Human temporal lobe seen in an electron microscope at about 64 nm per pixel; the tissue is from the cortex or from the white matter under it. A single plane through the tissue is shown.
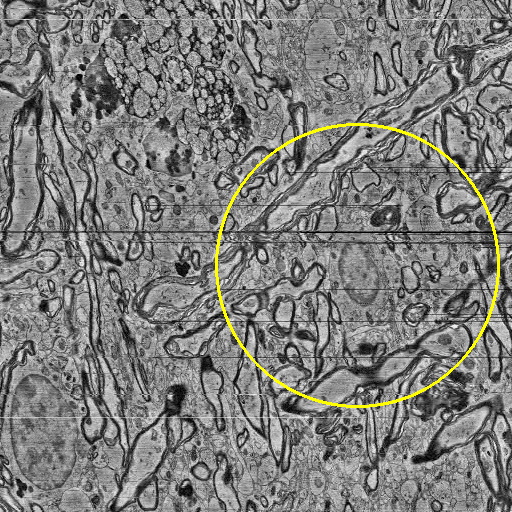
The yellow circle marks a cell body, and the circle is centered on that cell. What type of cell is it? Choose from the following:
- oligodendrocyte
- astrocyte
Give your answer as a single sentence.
This cell body belongs to an oligodendrocyte.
